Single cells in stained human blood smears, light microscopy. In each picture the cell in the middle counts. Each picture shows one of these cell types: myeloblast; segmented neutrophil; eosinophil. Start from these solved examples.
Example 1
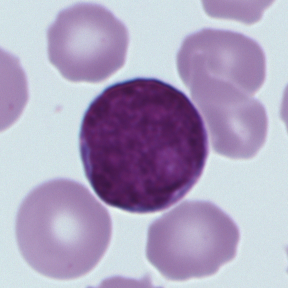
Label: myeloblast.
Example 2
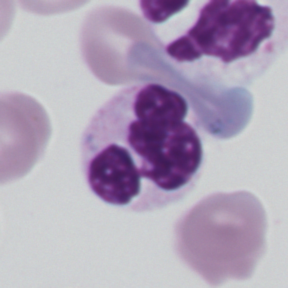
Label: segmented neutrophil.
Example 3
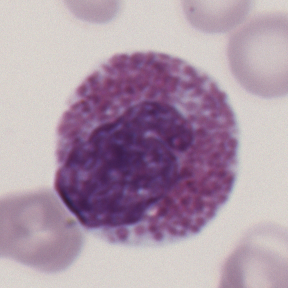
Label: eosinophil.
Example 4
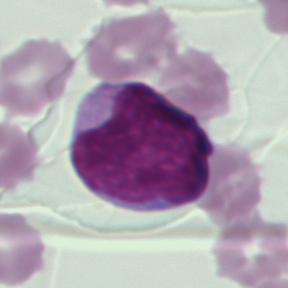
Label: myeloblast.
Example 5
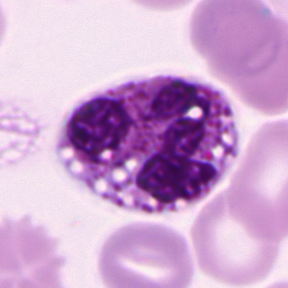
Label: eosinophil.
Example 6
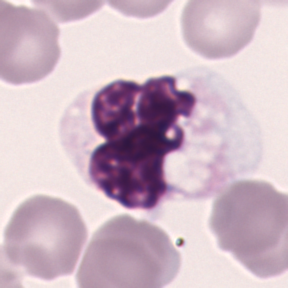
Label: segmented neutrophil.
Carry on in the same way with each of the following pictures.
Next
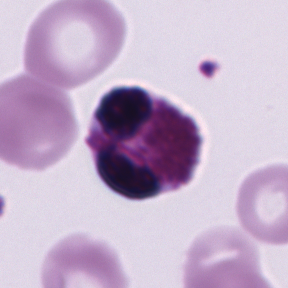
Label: eosinophil.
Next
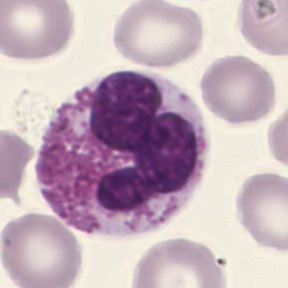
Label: eosinophil.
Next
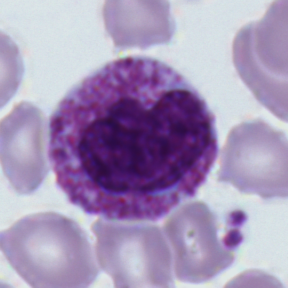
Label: eosinophil.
